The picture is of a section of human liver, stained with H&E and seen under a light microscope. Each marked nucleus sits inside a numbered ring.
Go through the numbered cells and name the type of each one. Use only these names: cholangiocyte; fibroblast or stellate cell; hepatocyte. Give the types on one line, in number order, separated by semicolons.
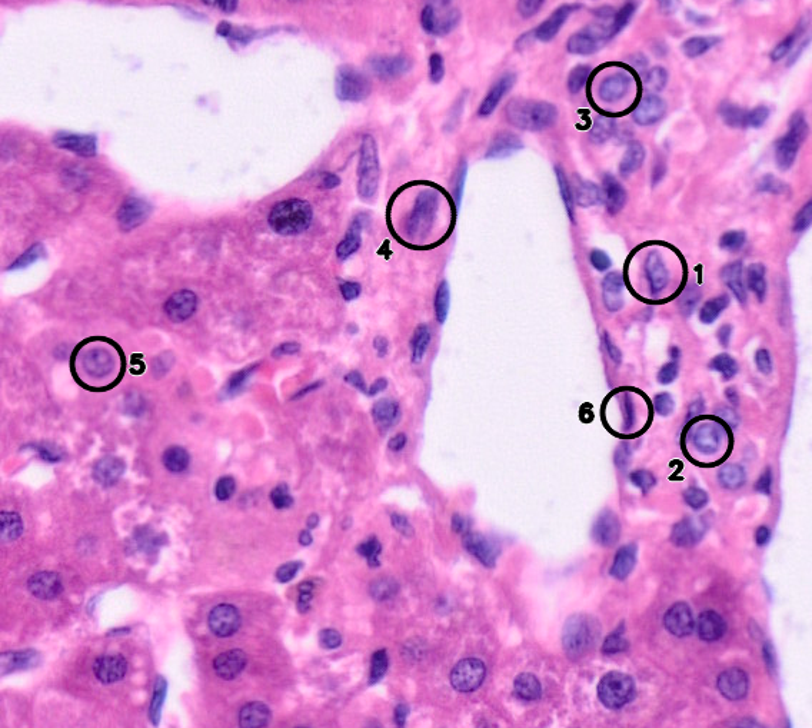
fibroblast or stellate cell; cholangiocyte; cholangiocyte; fibroblast or stellate cell; hepatocyte; fibroblast or stellate cell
